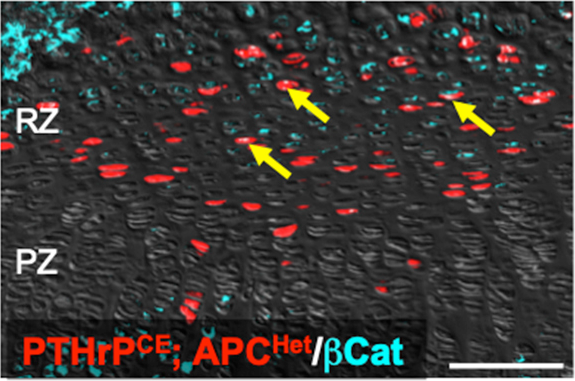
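Growth plate cartilage with resting chondrocytes in the upper part and flattened chondrocytes below. Many blue dots lie among the cells, several at the edge of red cells. Below, gray flattened cells are arranged in vertical columns, with few red cells in them.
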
